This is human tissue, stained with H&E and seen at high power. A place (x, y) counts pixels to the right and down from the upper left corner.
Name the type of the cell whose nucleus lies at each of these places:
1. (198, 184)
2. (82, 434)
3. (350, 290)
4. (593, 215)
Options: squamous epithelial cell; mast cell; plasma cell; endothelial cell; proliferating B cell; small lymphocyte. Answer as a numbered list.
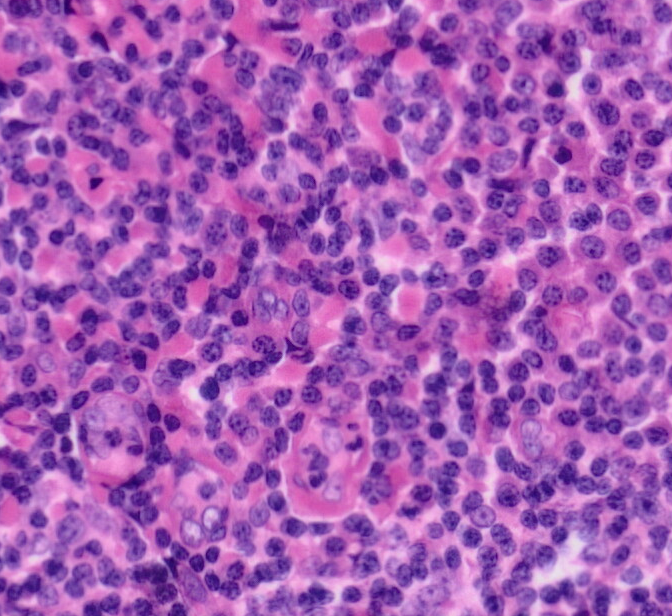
1. plasma cell
2. endothelial cell
3. plasma cell
4. plasma cell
